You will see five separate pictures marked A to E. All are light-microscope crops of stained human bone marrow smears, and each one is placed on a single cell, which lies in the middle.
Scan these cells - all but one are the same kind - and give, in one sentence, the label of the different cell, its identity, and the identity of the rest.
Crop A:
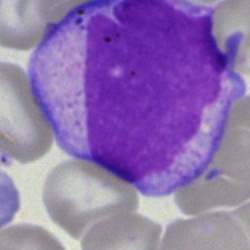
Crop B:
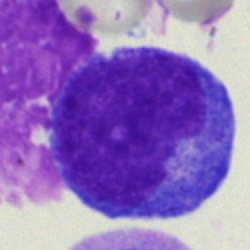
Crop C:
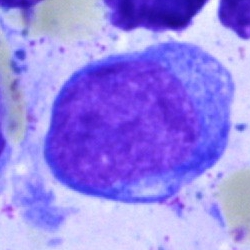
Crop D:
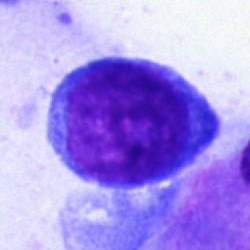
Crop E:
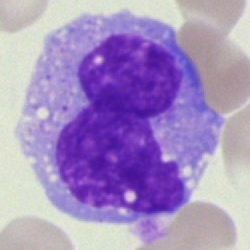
Crop E is the different one, a monocyte, while the rest are blasts.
